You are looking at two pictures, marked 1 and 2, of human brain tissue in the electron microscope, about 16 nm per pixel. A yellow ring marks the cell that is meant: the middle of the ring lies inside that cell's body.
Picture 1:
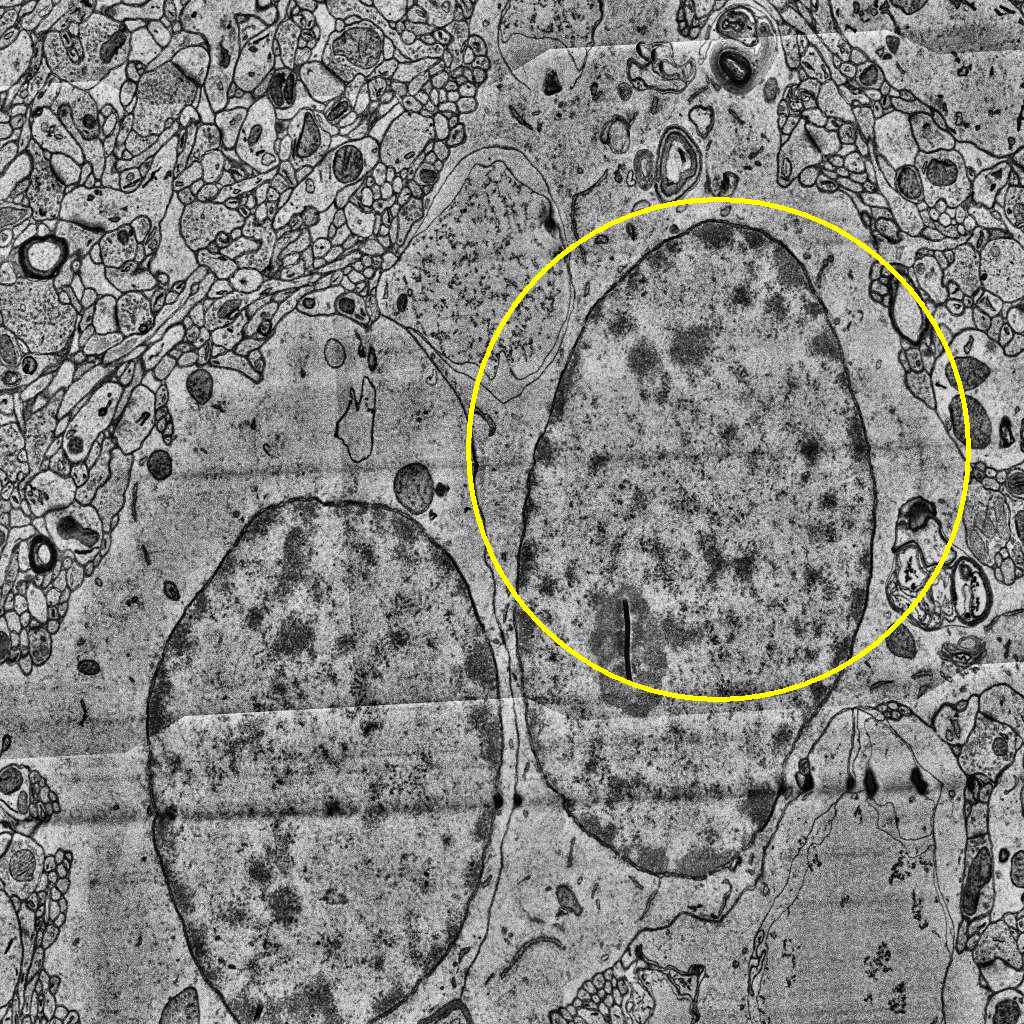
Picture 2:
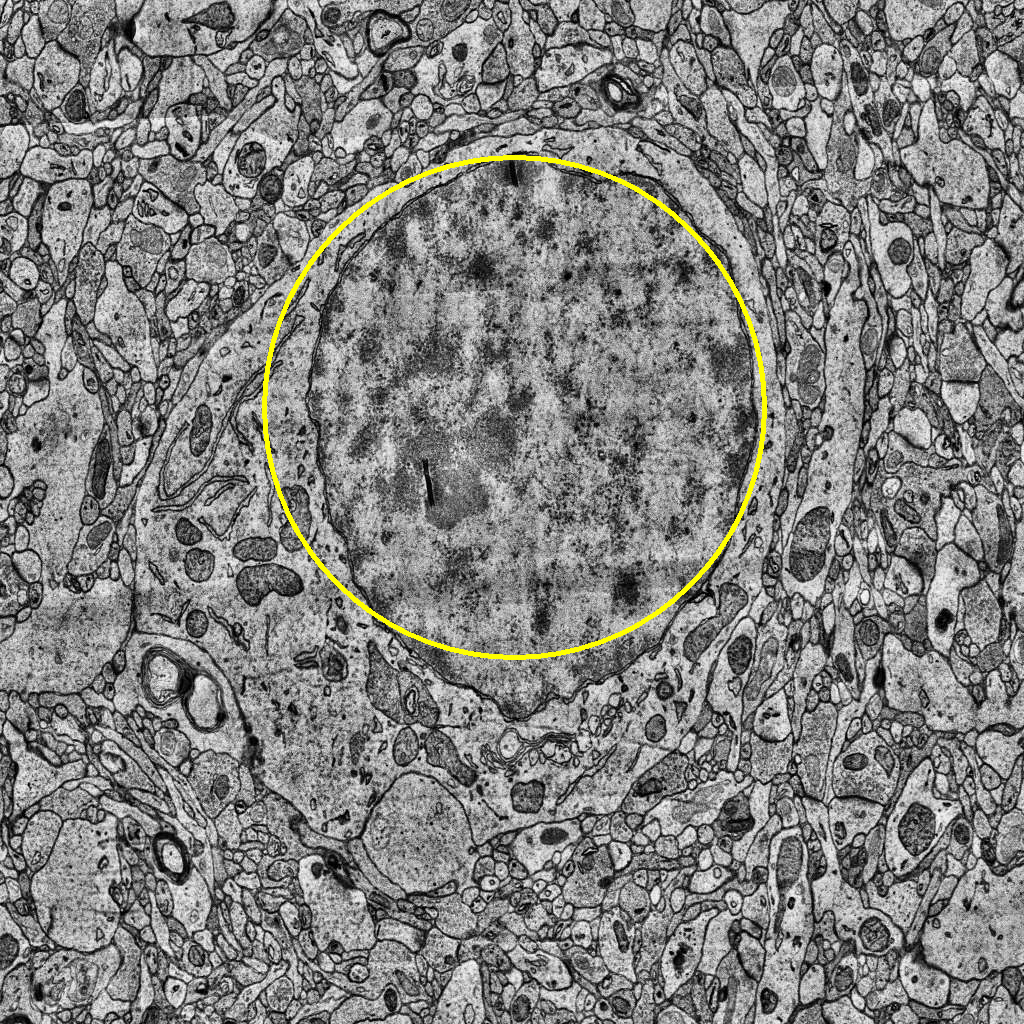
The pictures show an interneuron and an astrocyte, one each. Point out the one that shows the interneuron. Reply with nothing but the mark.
2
